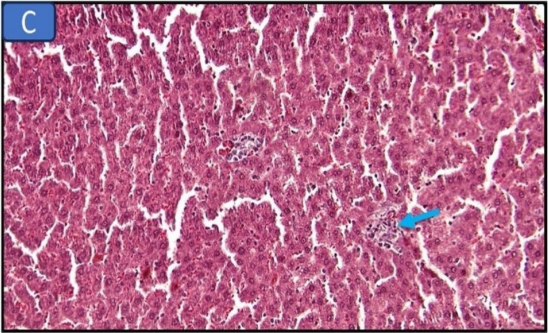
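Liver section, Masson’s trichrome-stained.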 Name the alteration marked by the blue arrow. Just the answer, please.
Lymphocytic infiltrate.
